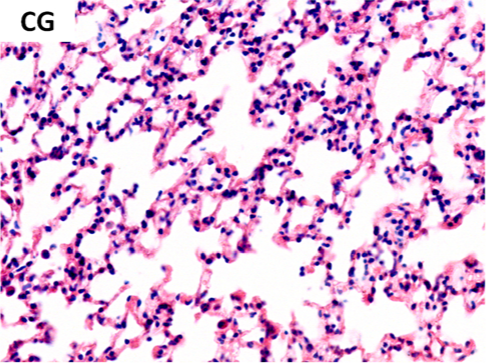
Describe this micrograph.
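This section shows lung parenchyma, made up of many small, irregular empty airspaces separated by a meshwork of thin walls. The walls are stained pink and carry numerous dark purple, mostly small and rounded nuclei, which are crowded along the septa. The airspaces vary in size and shape, and the septal walls appear relatively cellular and densely stained in this field.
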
